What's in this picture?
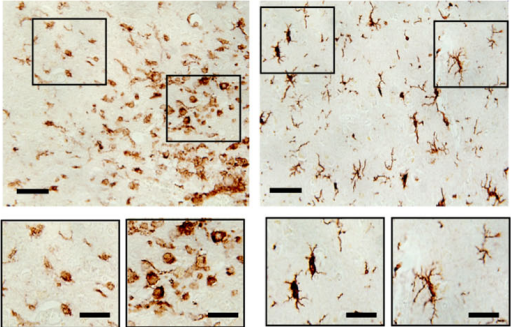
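In the left field the cells are numerous and crowded, many of them rounded and plump with dark cell bodies and few or short processes, giving an amoeboid look. Toward the lower right of the left field the cells cluster densely. In the right field the cells are sparser and more evenly spaced, with slender cell bodies and thin, elongated processes.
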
